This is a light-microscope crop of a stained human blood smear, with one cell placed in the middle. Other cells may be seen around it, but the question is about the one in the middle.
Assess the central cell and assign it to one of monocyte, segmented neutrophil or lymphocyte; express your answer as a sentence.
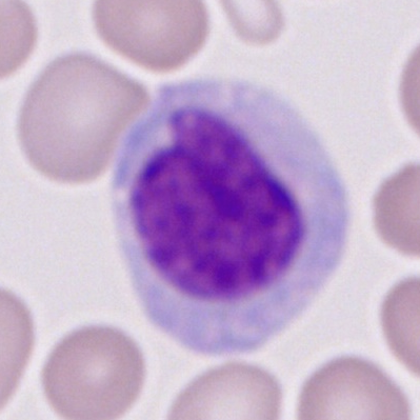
Located at the centre of the crop is a monocyte.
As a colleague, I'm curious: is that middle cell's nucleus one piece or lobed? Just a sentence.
The nucleus amounts to one compact mass with a round, oval or kidney-shaped outline.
